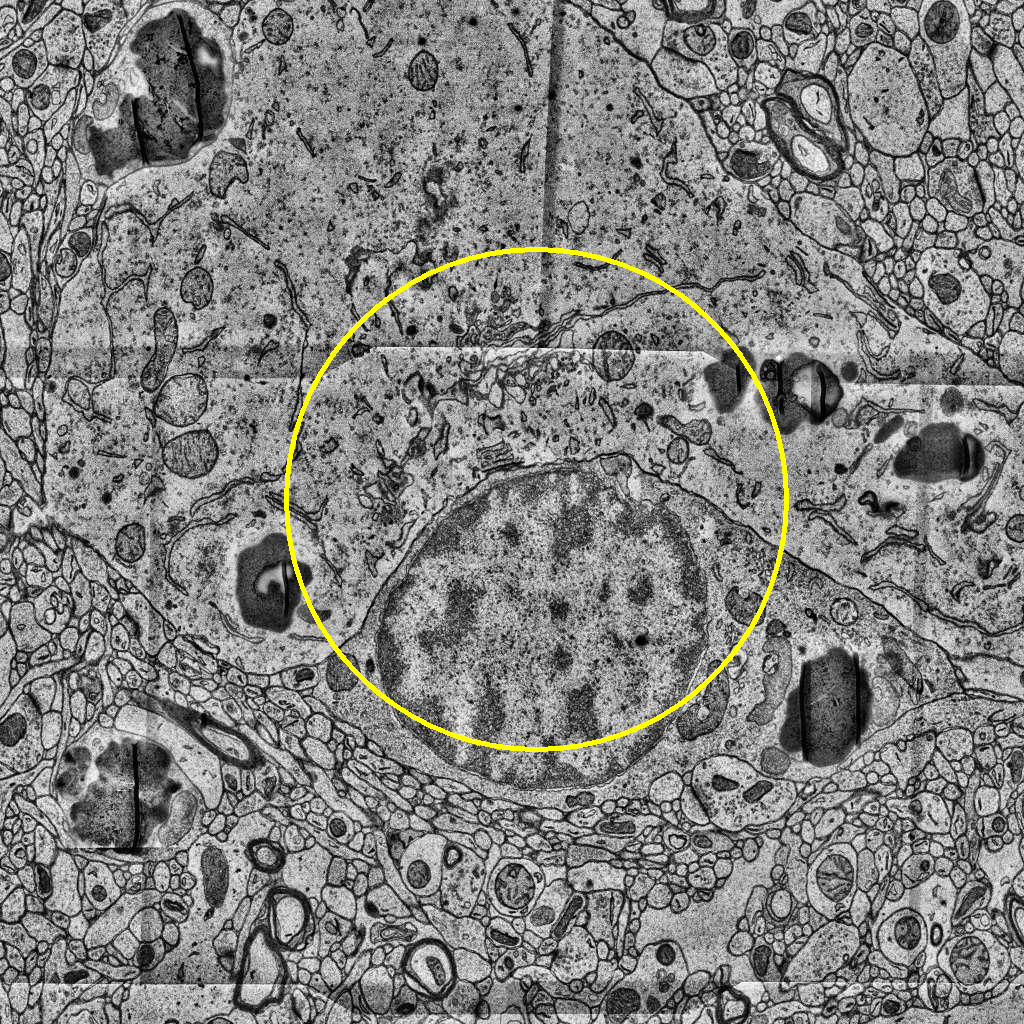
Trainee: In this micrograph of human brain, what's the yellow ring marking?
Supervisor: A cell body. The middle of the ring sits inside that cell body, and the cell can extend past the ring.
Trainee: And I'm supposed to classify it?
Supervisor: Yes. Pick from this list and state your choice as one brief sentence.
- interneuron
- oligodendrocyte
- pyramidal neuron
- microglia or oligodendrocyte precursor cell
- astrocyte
The cell at the ring's center is an oligodendrocyte.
